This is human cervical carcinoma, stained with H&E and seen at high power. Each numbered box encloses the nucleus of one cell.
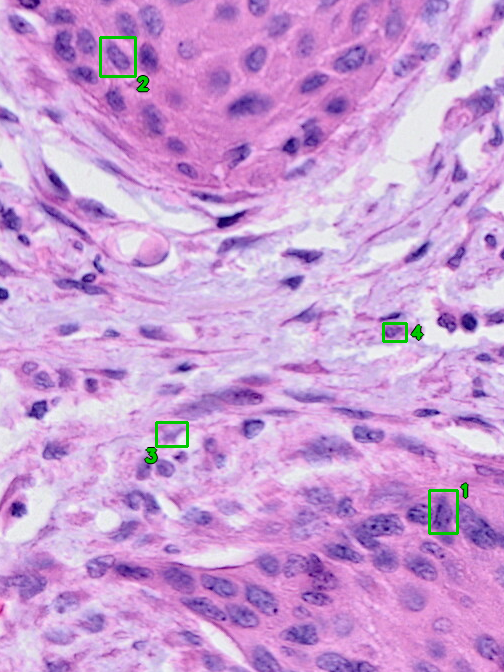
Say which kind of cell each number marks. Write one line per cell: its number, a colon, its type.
1: squamous carcinoma cell
2: squamous carcinoma cell
3: fibroblast
4: fibroblast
